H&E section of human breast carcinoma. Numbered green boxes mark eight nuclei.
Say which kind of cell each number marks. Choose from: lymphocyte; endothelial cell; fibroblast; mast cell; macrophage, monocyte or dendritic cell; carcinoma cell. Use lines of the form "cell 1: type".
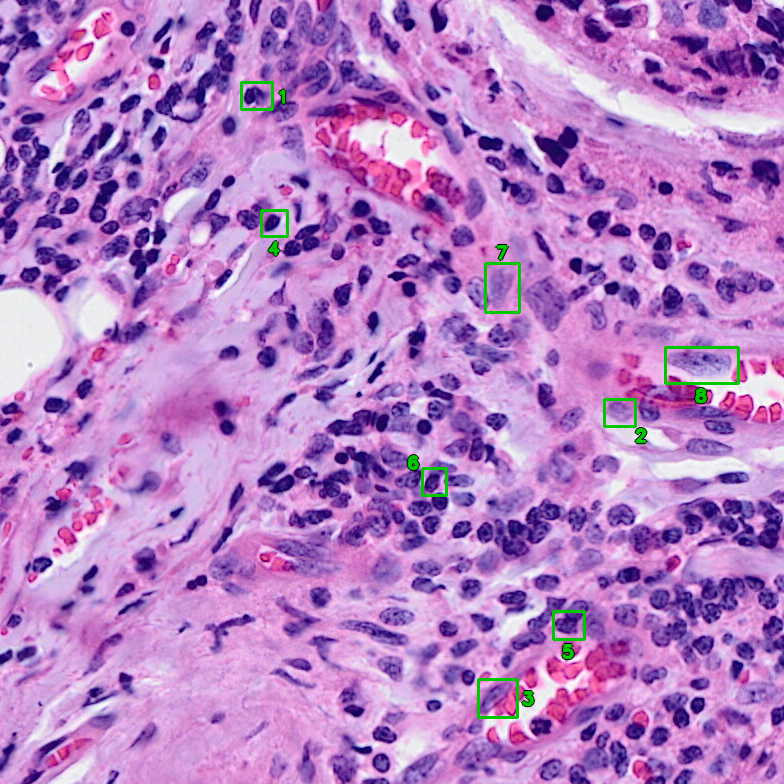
cell 1: lymphocyte
cell 2: endothelial cell
cell 3: endothelial cell
cell 4: lymphocyte
cell 5: lymphocyte
cell 6: lymphocyte
cell 7: endothelial cell
cell 8: endothelial cell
